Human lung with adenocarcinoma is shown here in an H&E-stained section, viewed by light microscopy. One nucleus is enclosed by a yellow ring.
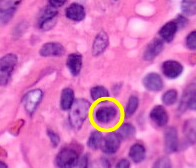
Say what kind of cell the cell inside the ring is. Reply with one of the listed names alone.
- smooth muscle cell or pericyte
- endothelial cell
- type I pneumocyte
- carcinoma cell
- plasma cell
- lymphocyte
lymphocyte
